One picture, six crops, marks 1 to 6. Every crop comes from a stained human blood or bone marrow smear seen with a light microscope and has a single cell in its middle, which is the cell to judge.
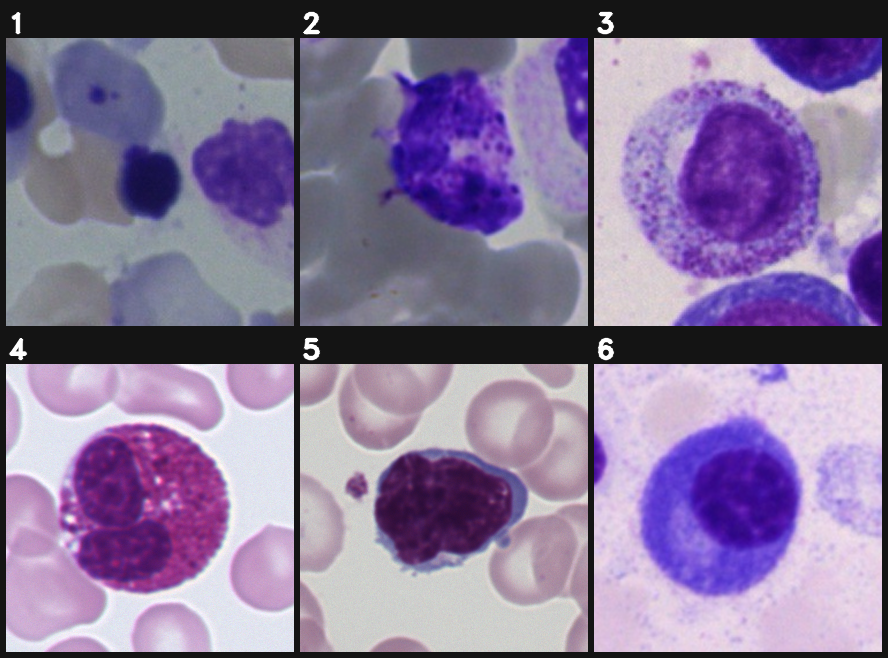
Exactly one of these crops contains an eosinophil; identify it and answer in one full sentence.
The crop in which an eosinophil is shown is crop 4.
